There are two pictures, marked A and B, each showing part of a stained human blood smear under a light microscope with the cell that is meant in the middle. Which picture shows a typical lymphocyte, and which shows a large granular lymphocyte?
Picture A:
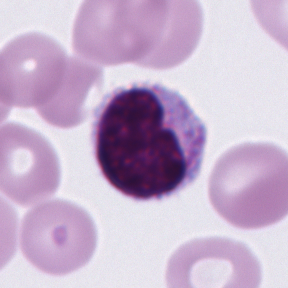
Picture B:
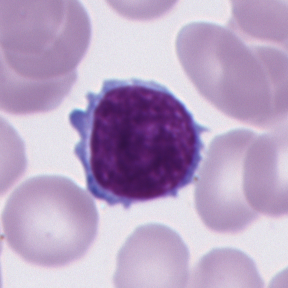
A: large granular lymphocyte
B: typical lymphocyte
